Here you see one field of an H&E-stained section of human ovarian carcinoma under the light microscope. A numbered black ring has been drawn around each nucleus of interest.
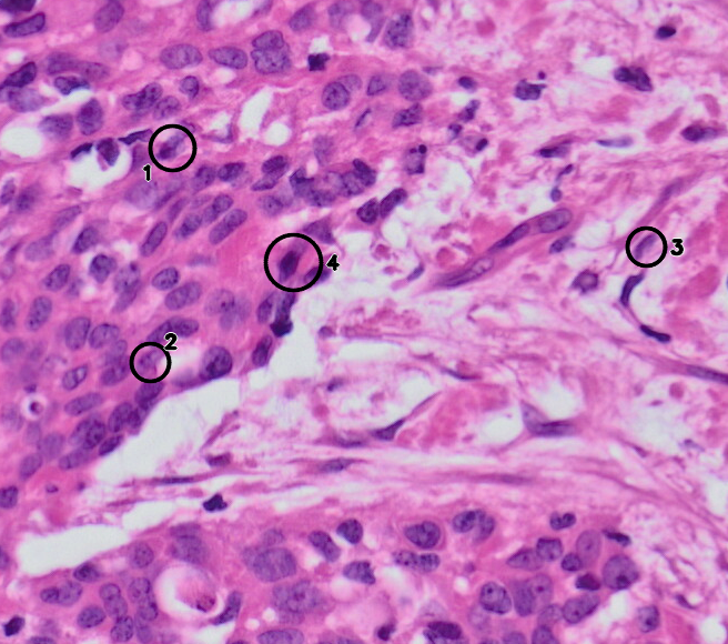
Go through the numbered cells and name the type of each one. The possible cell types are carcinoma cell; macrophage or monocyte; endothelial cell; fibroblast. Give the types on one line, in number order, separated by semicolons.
carcinoma cell; carcinoma cell; fibroblast; carcinoma cell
